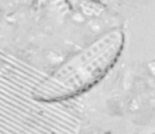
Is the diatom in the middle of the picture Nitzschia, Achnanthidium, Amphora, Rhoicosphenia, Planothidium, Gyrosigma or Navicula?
It is Amphora.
